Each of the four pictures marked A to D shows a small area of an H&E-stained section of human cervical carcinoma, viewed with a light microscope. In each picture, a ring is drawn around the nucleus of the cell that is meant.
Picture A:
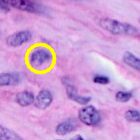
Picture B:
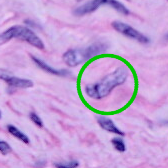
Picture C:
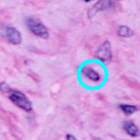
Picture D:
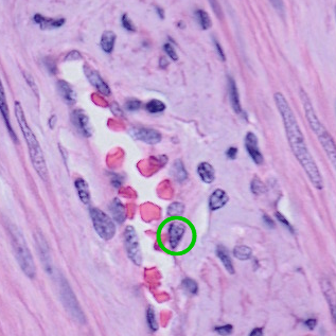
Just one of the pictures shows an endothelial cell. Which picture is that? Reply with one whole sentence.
The cell in picture D is the endothelial cell.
